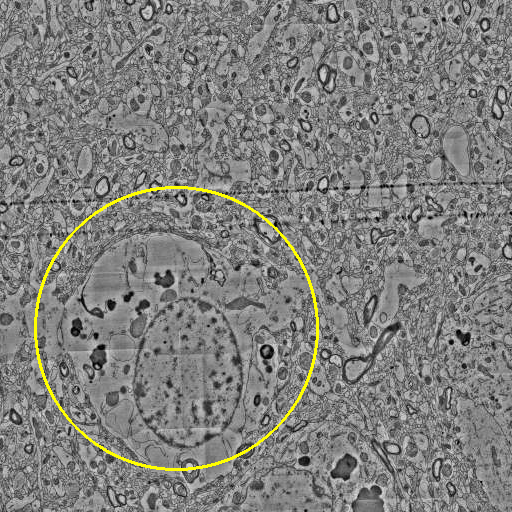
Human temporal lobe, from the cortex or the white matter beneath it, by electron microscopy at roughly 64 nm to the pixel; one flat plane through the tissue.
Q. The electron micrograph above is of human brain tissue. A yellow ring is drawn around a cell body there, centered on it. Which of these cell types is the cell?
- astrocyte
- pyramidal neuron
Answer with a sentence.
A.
The cell under the ring's center is an astrocyte.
